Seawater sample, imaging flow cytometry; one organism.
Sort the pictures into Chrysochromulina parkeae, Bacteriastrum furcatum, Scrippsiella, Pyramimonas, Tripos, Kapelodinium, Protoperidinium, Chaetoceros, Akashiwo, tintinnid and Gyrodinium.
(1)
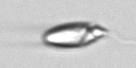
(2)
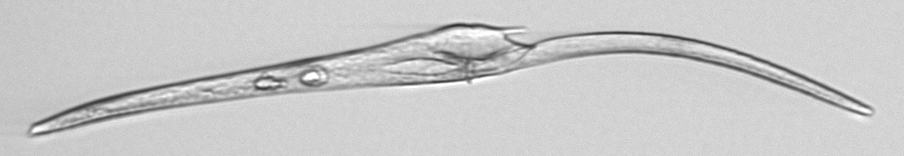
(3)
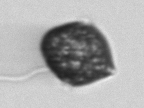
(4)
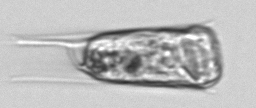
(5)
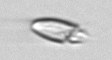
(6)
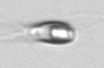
Kapelodinium: 1, 5
Tripos: 2
Scrippsiella: 3
Tintinnids: 4
Chrysochromulina parkeae: 6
